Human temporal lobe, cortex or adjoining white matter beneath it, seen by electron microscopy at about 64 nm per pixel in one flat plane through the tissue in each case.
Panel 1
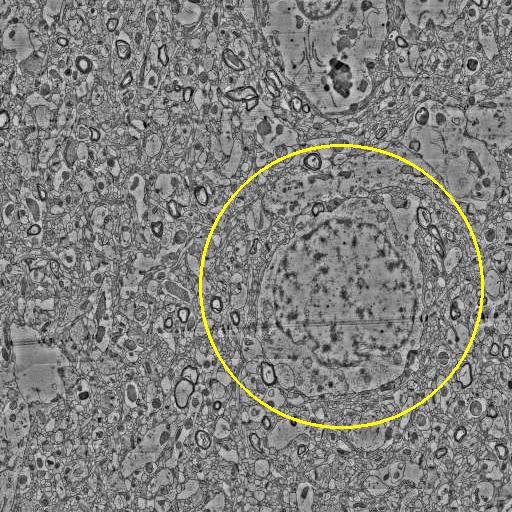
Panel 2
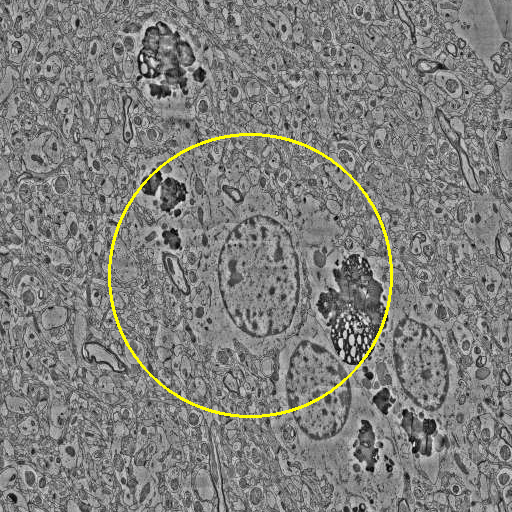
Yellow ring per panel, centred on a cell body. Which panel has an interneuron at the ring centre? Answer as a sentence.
Panel 1 shows it at the ring centre.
